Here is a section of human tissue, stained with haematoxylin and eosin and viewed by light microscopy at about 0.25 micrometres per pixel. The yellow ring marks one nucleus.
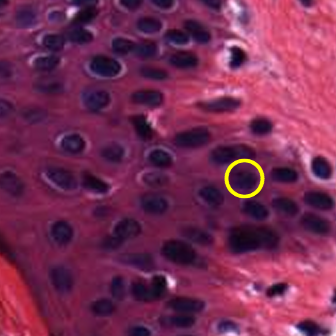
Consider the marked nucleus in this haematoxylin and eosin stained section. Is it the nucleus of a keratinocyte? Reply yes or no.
yes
